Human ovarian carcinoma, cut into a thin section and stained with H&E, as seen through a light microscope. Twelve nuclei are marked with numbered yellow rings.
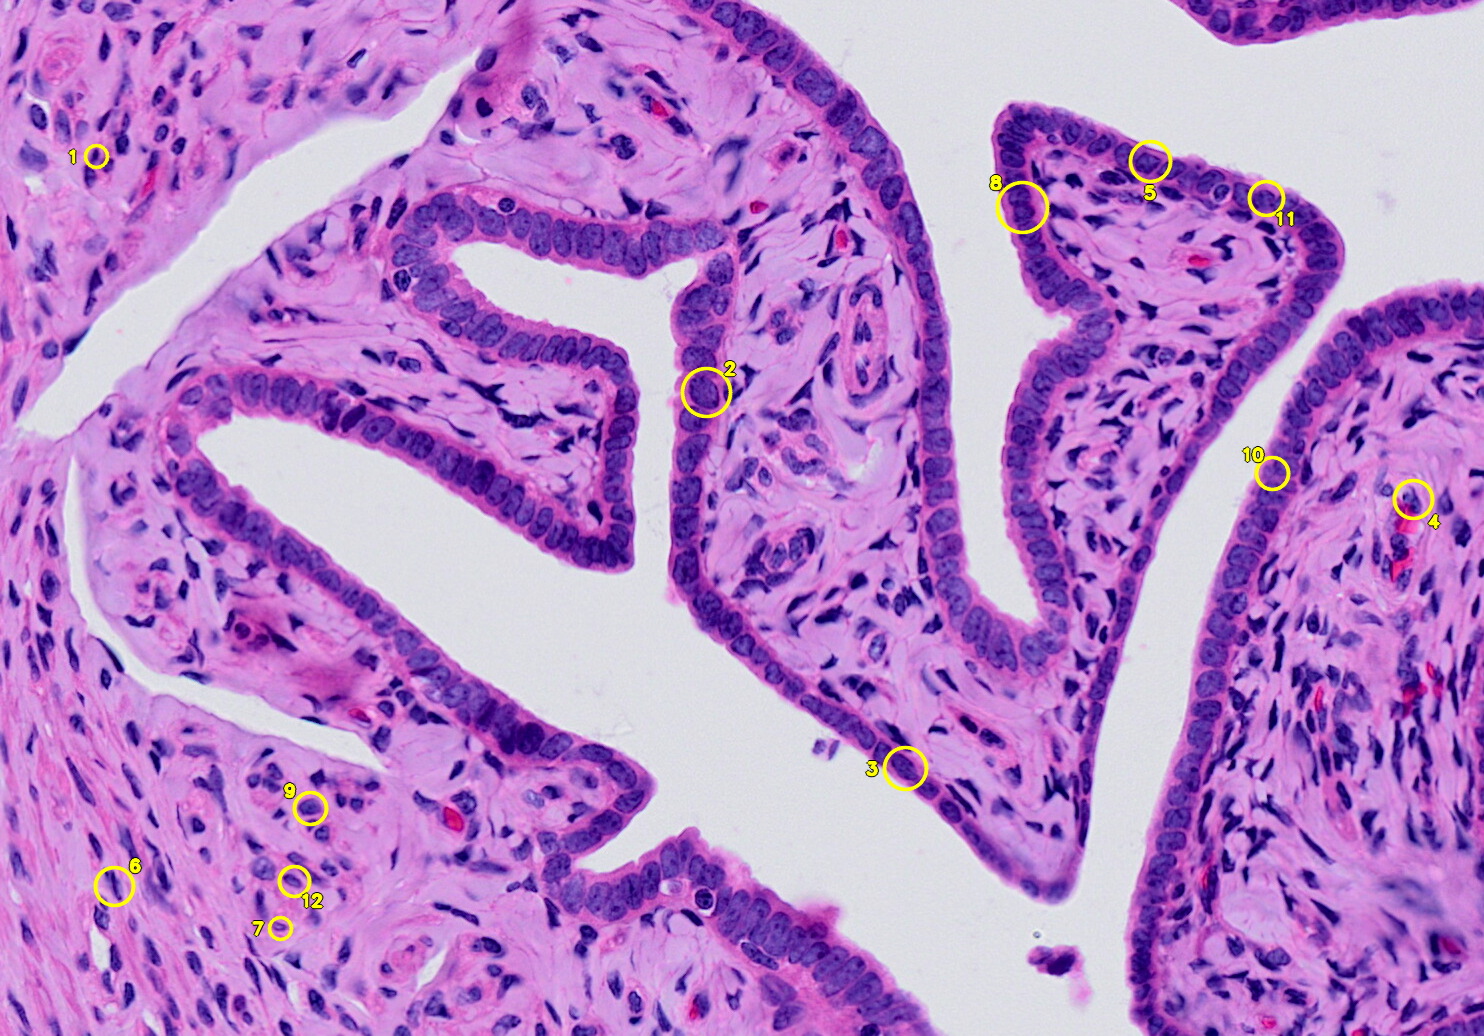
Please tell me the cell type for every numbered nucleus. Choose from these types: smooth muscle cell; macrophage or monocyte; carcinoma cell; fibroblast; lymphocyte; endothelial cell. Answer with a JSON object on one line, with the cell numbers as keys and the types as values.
{"1": "smooth muscle cell", "2": "carcinoma cell", "3": "carcinoma cell", "4": "endothelial cell", "5": "carcinoma cell", "6": "fibroblast", "7": "smooth muscle cell", "8": "carcinoma cell", "9": "smooth muscle cell", "10": "carcinoma cell", "11": "carcinoma cell", "12": "smooth muscle cell"}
